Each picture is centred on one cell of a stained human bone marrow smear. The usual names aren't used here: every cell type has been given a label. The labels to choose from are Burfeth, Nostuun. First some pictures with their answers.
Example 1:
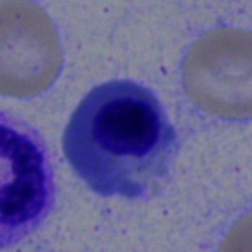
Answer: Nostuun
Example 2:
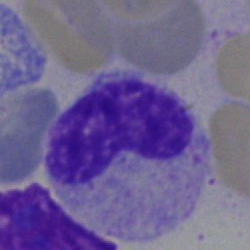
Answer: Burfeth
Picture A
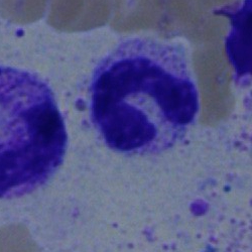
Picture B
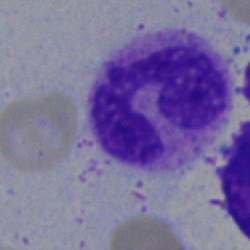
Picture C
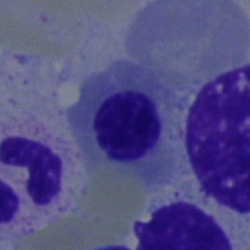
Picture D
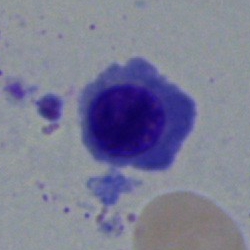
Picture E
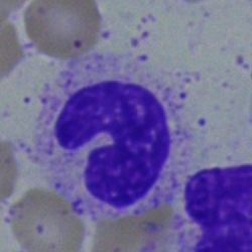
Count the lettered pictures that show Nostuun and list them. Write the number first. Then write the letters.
2, namely C, D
